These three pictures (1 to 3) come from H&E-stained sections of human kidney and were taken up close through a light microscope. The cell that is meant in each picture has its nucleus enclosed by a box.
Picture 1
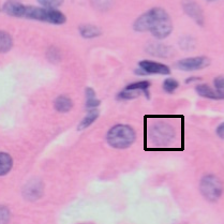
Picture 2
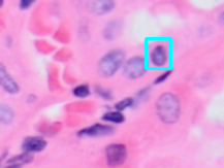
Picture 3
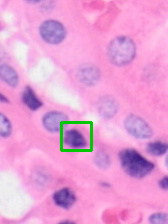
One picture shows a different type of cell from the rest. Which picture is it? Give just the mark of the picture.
1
